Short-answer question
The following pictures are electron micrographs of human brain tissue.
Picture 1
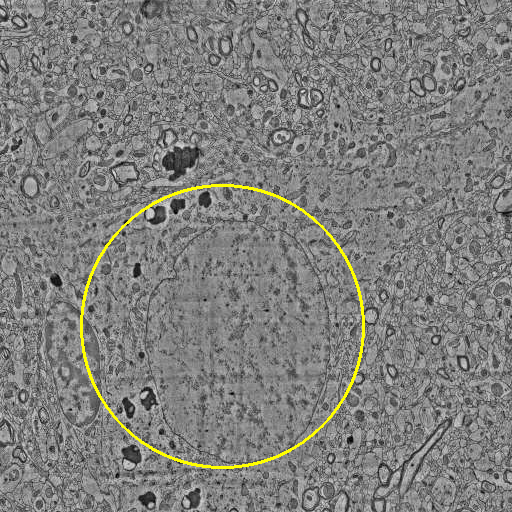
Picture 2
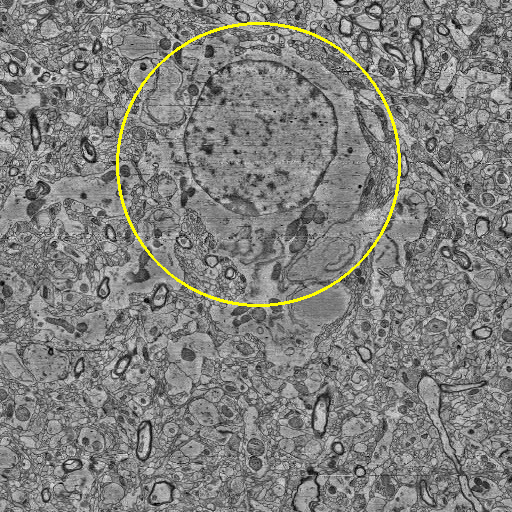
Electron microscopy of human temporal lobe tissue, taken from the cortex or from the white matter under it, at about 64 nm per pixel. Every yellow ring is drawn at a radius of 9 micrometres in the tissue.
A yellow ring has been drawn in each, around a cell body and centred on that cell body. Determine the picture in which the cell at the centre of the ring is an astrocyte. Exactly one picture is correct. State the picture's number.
2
